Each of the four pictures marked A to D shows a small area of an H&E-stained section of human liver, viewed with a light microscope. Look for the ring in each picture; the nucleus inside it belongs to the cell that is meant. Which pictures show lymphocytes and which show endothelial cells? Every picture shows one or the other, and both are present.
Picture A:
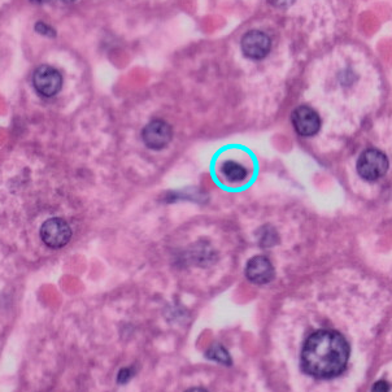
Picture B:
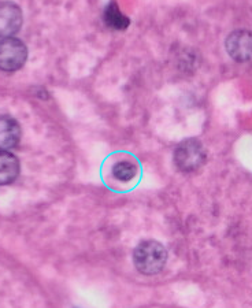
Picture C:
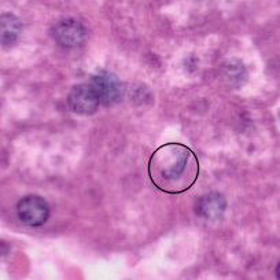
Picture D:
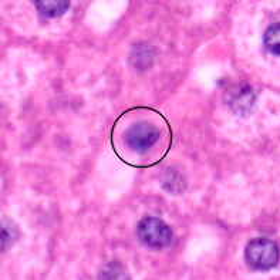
A: lymphocyte
B: lymphocyte
C: endothelial cell
D: endothelial cell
